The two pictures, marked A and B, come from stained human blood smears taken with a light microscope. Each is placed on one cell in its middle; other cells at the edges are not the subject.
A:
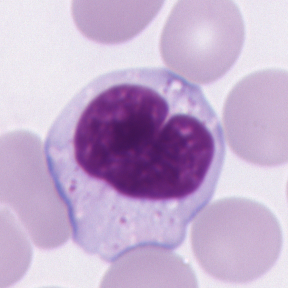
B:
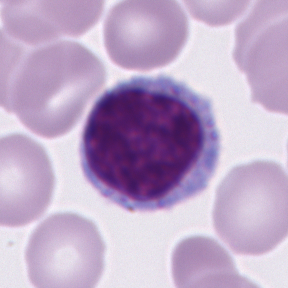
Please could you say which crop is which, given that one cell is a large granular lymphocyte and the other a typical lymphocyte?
A: large granular lymphocyte
B: typical lymphocyte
